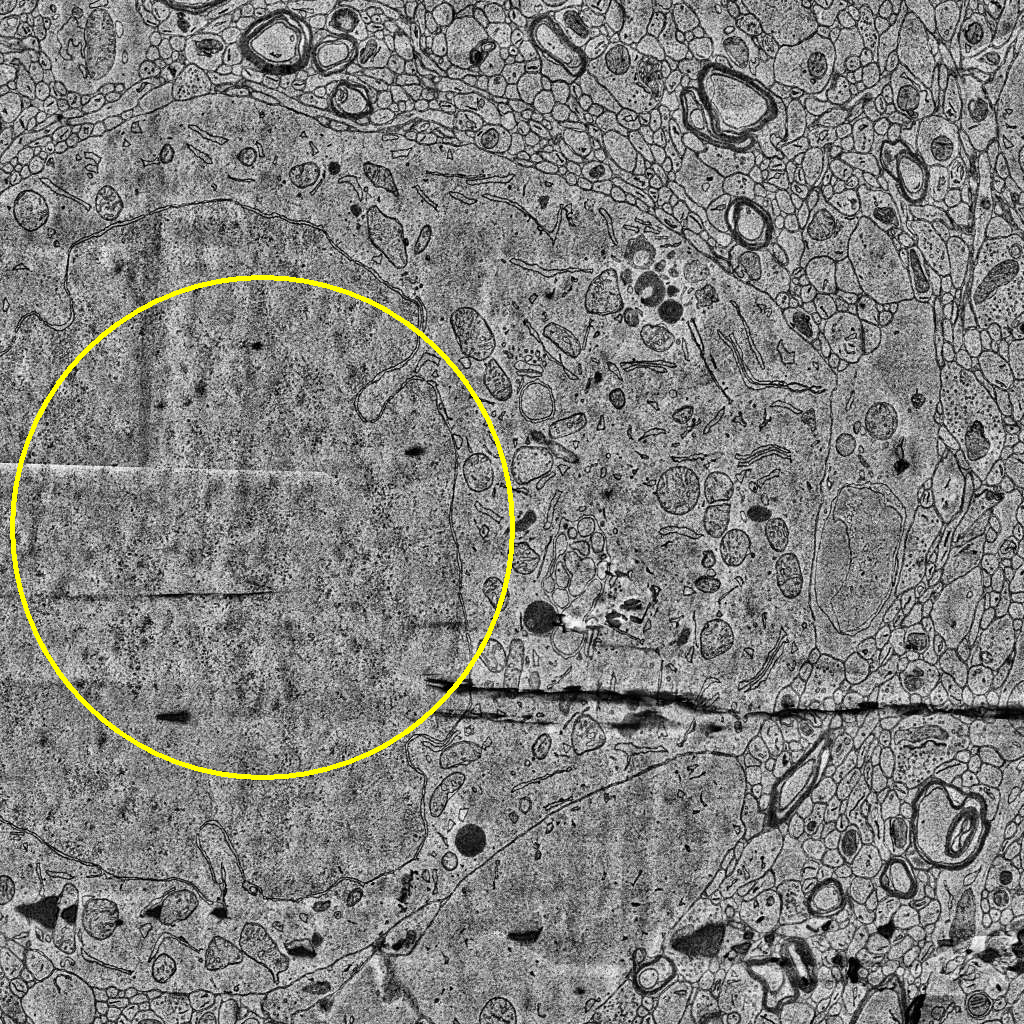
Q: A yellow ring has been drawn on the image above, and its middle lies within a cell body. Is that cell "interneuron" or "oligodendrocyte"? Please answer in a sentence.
The ring's middle lies in the cell body of an interneuron.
